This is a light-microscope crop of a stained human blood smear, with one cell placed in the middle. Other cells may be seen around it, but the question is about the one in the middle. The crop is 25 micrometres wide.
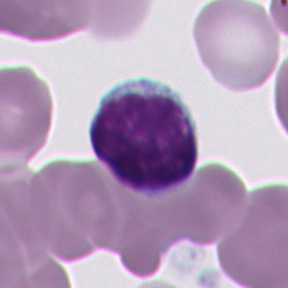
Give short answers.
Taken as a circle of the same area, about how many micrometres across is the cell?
10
